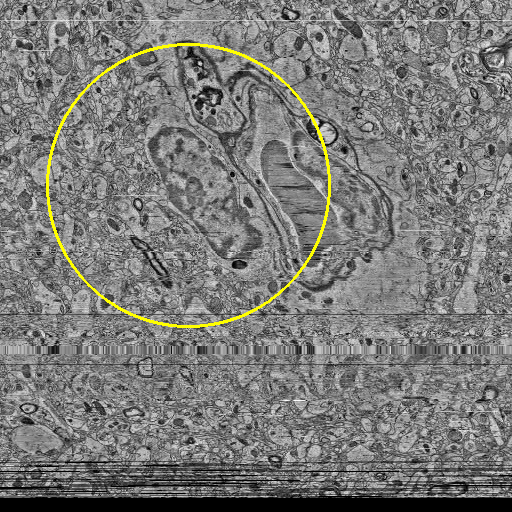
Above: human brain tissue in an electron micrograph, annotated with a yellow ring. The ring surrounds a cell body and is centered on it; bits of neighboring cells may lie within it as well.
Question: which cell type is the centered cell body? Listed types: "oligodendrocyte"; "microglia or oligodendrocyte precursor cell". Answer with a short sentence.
The centered cell body is a microglial cell or oligodendrocyte precursor cell.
